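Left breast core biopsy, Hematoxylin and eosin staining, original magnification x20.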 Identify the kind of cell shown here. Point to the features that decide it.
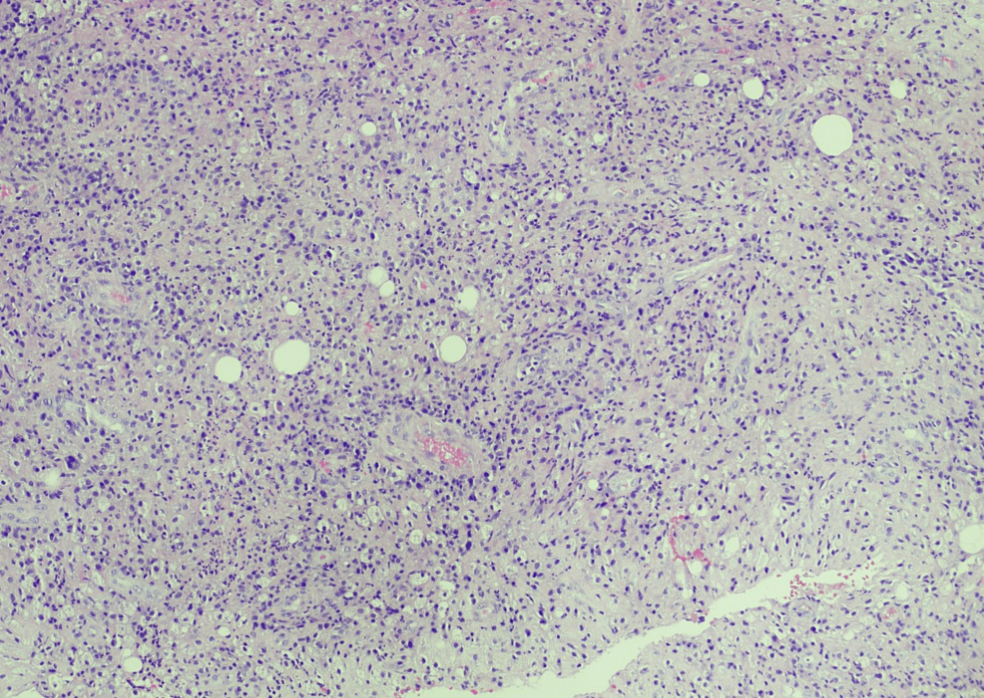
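Inflammatory cells. The field is filled by a dense sheet of cells with no normal ducts or lobules. Many small, round, dark-blue nuclei are mixed with larger cells that have pale pink cytoplasm.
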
